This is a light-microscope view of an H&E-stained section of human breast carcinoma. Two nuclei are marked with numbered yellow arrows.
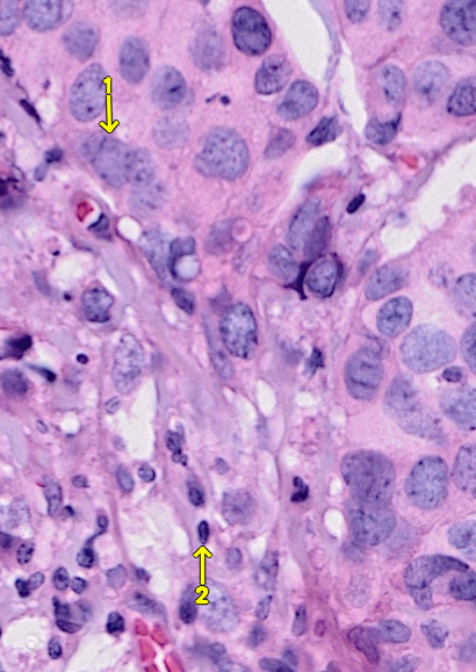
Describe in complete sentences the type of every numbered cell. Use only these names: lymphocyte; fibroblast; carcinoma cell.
Cell 1 is a carcinoma cell and cell 2 is a lymphocyte.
